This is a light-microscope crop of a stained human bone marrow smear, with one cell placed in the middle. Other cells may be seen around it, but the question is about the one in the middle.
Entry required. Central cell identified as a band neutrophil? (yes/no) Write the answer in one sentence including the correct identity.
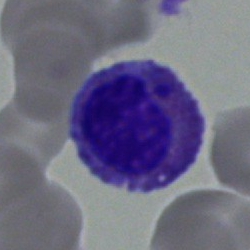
No, the centre of the crop contains an eosinophil rather than a band neutrophil.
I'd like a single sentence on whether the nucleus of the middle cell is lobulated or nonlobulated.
Between us, the nucleus here is just one compact mass, round, oval or kidney-shaped.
